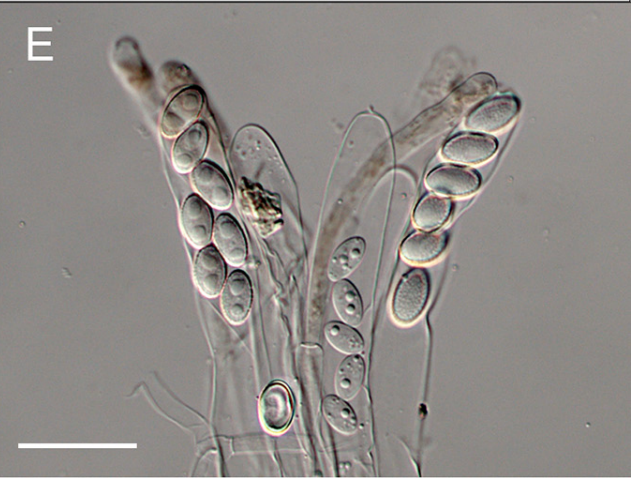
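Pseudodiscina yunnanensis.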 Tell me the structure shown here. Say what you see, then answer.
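Ascospores within asci. Spores have refractile walls and granular or droplet-filled contents.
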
